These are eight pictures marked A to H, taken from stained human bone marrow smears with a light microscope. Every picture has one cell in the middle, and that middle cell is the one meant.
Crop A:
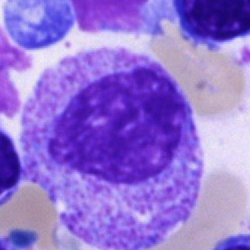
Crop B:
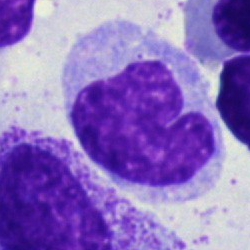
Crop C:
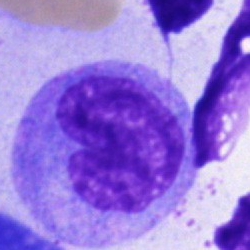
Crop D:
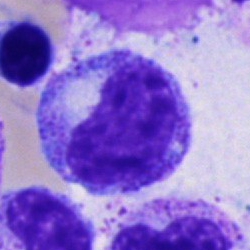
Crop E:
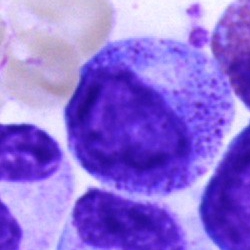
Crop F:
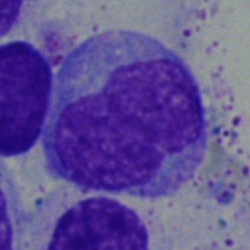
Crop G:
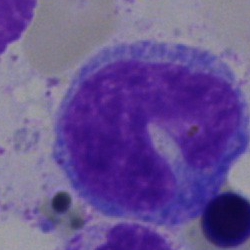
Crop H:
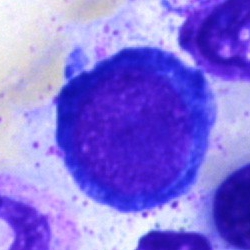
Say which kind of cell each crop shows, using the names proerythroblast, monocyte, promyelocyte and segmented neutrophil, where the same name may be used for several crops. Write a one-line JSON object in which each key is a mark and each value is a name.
{"A": "promyelocyte", "B": "monocyte", "C": "monocyte", "D": "promyelocyte", "E": "promyelocyte", "F": "monocyte", "G": "monocyte", "H": "proerythroblast"}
